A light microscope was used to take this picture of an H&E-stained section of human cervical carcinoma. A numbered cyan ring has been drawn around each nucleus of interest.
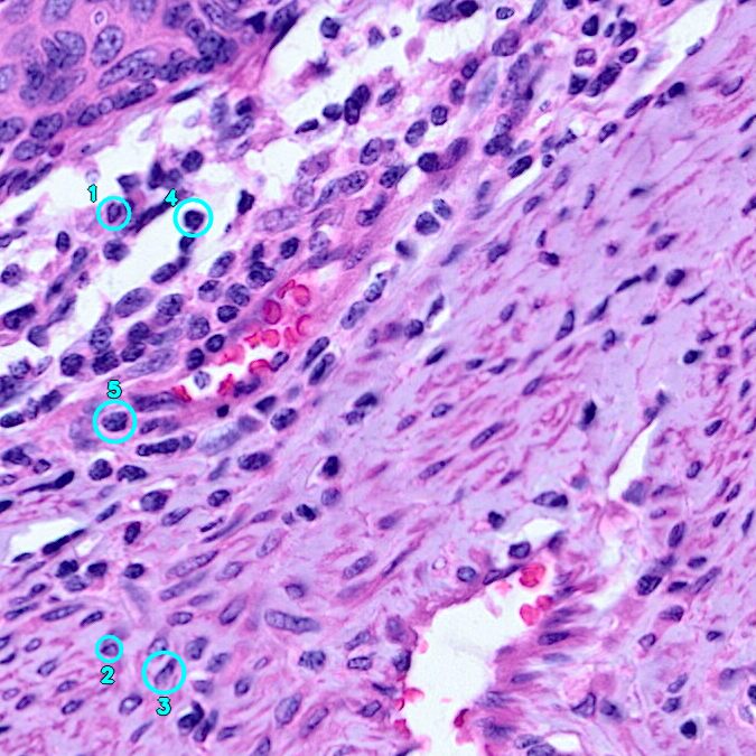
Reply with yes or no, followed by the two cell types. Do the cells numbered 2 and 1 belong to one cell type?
No, cell 2 is a smooth muscle cell and cell 1 is a lymphocyte.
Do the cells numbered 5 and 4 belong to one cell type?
Yes, both are lymphocytes.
